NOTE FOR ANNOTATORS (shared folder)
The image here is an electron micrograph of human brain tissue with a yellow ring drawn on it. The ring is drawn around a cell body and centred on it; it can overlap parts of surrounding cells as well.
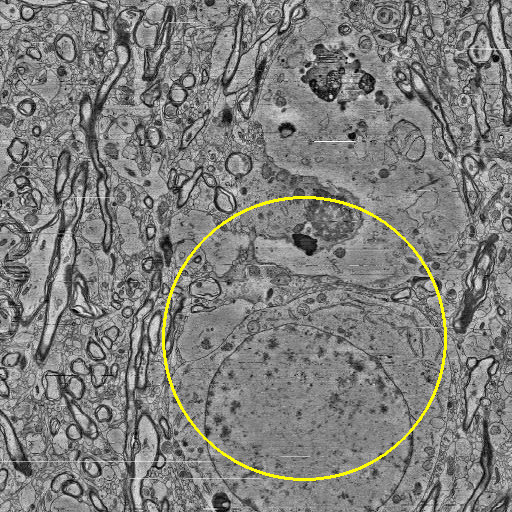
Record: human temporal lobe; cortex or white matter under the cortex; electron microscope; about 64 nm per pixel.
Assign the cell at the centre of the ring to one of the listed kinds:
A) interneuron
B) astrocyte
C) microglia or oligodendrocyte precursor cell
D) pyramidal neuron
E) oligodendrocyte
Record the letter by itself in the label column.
D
